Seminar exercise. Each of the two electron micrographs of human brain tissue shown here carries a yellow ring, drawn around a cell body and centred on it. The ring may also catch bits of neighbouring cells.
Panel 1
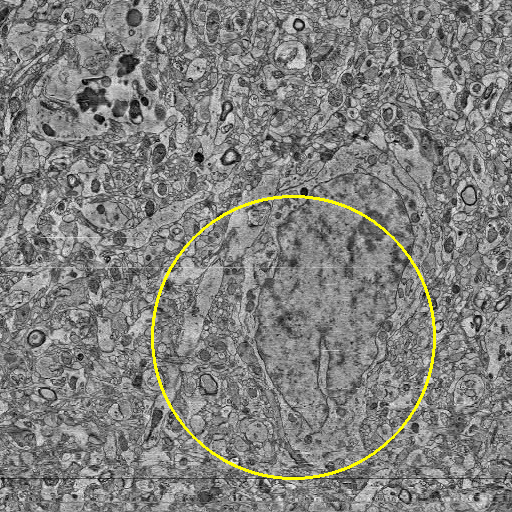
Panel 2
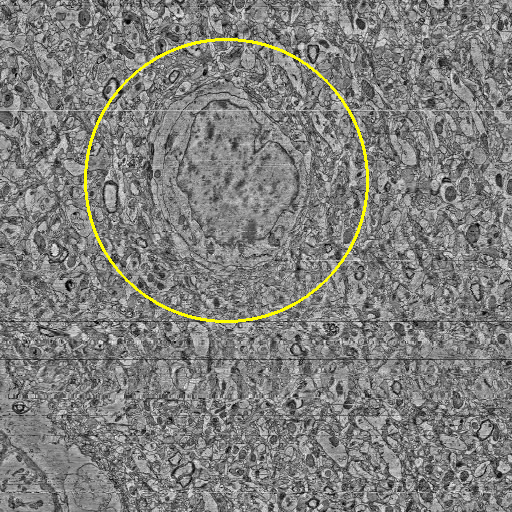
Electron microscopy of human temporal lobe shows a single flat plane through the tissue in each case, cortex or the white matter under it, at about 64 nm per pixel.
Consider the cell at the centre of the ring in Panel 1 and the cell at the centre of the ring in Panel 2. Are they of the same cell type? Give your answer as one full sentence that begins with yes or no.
Yes, both cells are of the same type.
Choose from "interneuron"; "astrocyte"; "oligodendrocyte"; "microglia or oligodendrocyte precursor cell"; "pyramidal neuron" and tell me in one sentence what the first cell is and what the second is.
Both pictures show an interneuron at the centre of the ring.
